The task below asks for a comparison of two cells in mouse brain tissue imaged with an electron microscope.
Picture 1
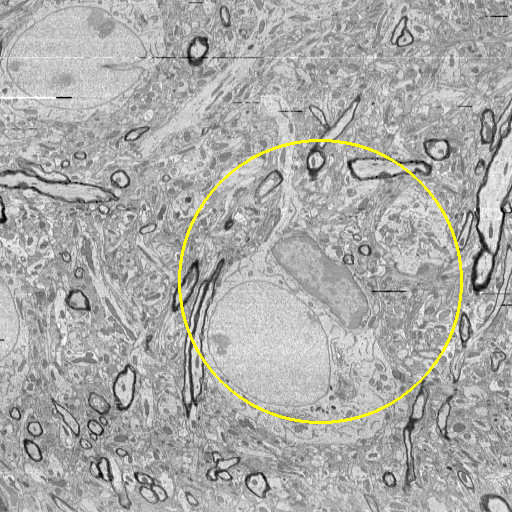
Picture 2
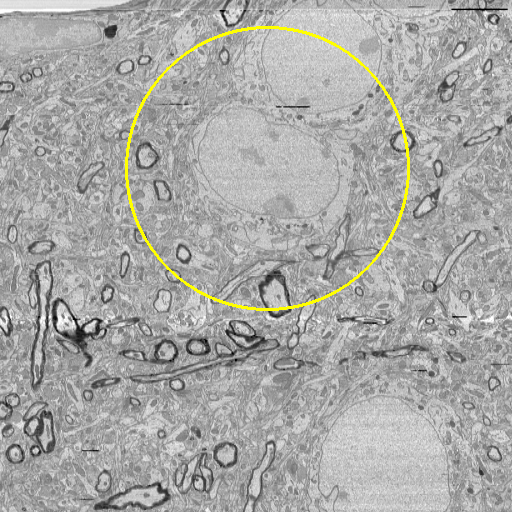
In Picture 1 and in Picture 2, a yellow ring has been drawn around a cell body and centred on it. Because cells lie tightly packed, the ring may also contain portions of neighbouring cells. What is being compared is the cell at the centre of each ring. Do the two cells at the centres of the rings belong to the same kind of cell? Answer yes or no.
no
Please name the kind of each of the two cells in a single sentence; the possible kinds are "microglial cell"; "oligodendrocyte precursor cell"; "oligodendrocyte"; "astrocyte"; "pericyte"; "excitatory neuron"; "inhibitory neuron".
In the first picture the ring is centred on a microglial cell, and in the second on an excitatory neuron.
